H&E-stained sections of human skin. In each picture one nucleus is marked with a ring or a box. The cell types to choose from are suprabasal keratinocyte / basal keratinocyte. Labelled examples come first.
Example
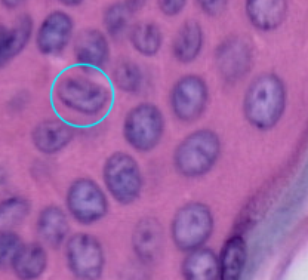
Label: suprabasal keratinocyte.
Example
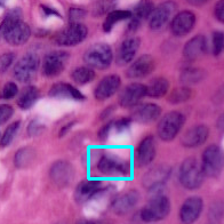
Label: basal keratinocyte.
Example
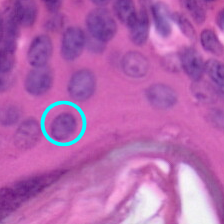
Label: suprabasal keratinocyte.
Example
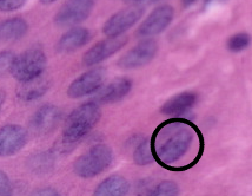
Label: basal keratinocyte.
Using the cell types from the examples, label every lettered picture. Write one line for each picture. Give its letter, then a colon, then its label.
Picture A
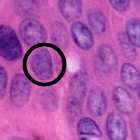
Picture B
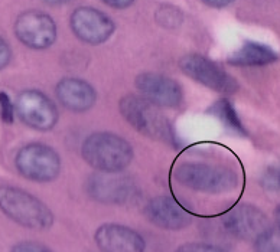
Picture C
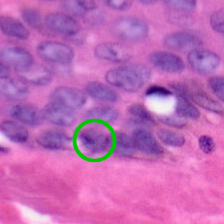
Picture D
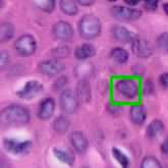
A: basal keratinocyte.
B: basal keratinocyte.
C: basal keratinocyte.
D: basal keratinocyte.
